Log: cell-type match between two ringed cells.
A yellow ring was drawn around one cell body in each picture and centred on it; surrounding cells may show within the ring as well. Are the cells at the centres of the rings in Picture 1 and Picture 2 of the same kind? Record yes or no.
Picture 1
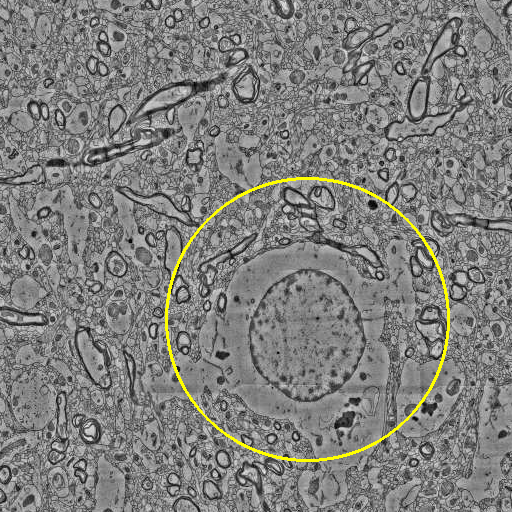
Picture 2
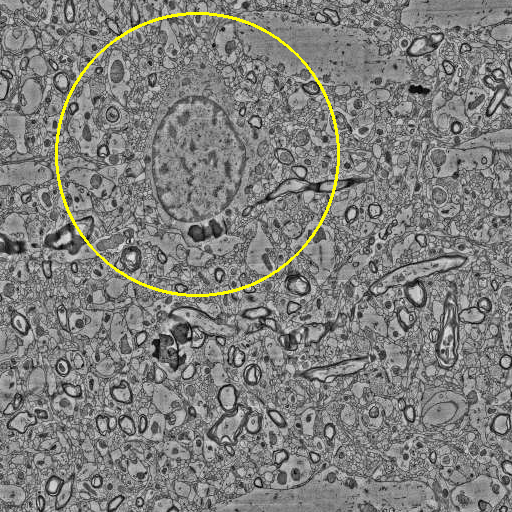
no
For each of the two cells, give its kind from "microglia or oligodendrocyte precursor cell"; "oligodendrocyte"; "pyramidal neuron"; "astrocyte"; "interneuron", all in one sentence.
The first picture has an astrocyte in its ring, the second has an oligodendrocyte.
